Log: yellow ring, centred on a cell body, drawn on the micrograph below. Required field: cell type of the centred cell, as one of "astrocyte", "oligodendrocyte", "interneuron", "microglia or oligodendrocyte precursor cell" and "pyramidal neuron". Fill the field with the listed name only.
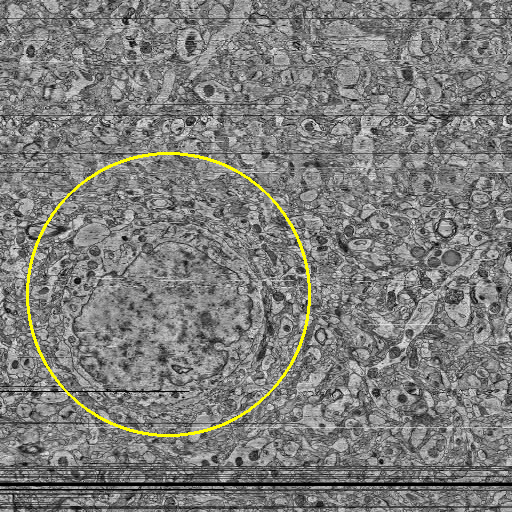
interneuron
